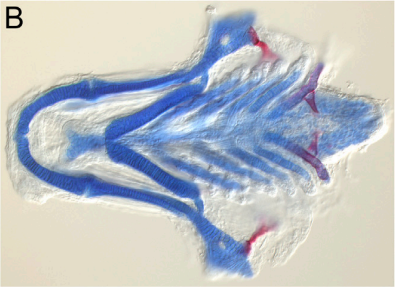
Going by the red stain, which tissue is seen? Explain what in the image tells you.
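Mineralized bone. Small red thin elements sit at the posterolateral edges. The red elements are distinct from the blue rods.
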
